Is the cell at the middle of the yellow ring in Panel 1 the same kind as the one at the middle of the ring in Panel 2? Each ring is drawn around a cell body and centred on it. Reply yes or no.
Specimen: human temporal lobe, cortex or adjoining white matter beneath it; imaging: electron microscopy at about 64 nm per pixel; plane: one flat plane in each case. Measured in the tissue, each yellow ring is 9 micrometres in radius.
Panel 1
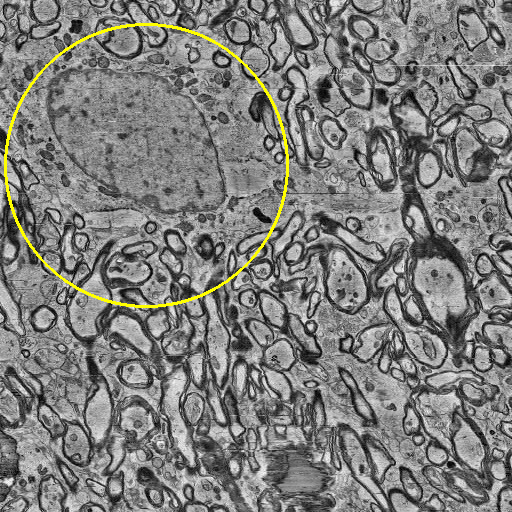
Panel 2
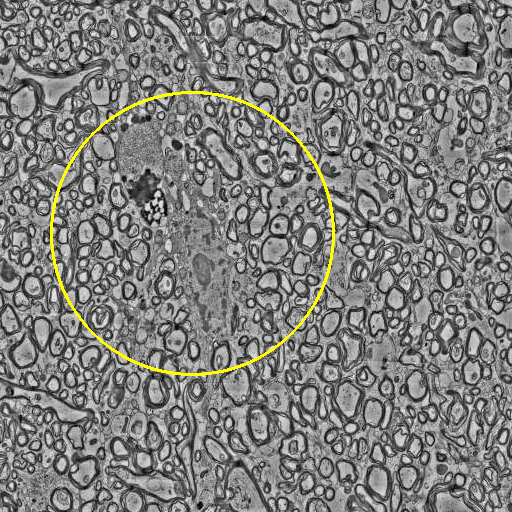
yes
